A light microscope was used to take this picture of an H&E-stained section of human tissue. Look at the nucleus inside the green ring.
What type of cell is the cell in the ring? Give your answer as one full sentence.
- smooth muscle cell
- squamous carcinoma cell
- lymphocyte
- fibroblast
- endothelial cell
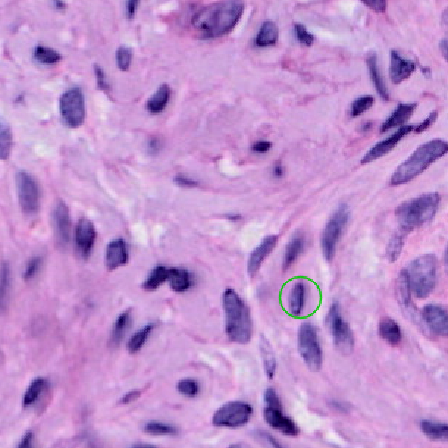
As classified here, the cell in the ring is a fibroblast.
